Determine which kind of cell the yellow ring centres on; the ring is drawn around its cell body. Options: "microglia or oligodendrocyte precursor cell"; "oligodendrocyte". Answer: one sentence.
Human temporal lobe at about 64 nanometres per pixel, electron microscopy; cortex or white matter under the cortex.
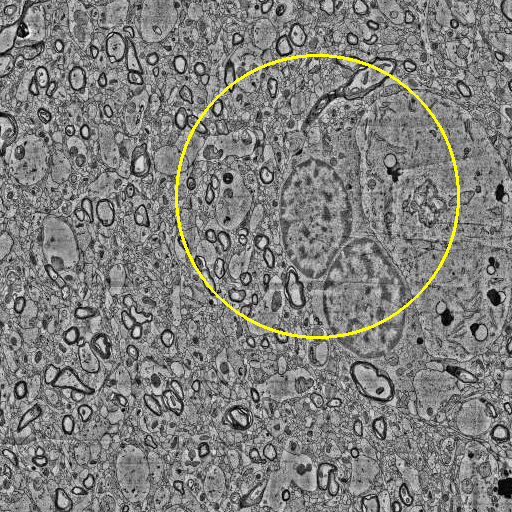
The ring centres on an oligodendrocyte.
